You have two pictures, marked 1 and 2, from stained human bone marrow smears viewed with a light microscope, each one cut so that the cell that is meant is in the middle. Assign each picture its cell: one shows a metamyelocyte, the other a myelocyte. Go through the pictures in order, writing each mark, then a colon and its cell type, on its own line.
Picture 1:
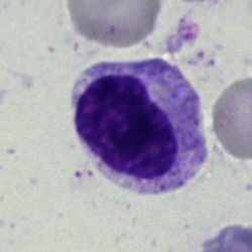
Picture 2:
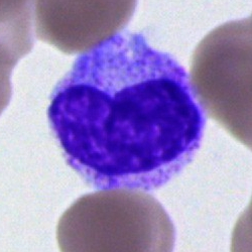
1: myelocyte
2: metamyelocyte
